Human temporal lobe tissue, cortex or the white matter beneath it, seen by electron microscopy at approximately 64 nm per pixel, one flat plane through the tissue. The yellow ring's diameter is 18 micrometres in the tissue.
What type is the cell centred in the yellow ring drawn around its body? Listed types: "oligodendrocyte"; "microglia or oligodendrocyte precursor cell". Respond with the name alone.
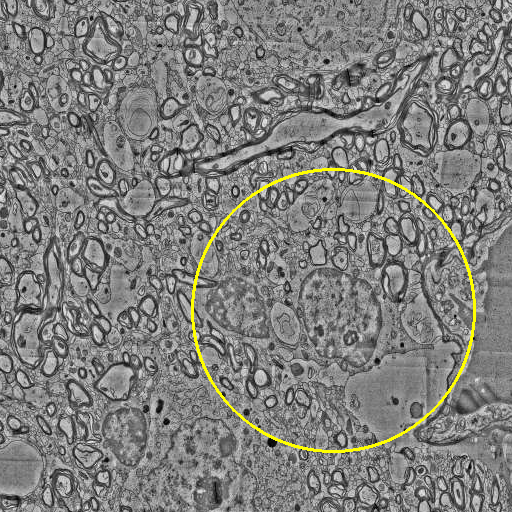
oligodendrocyte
